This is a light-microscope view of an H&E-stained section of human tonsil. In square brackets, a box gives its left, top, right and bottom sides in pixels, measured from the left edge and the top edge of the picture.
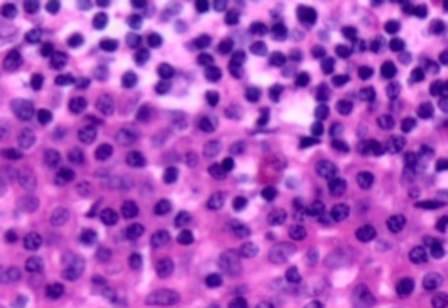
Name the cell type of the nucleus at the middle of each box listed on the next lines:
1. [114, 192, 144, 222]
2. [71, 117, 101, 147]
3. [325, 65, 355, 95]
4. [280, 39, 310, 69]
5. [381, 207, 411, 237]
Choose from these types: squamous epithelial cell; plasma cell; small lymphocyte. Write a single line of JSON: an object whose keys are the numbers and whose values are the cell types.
{"1": "plasma cell", "2": "plasma cell", "3": "small lymphocyte", "4": "small lymphocyte", "5": "plasma cell"}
